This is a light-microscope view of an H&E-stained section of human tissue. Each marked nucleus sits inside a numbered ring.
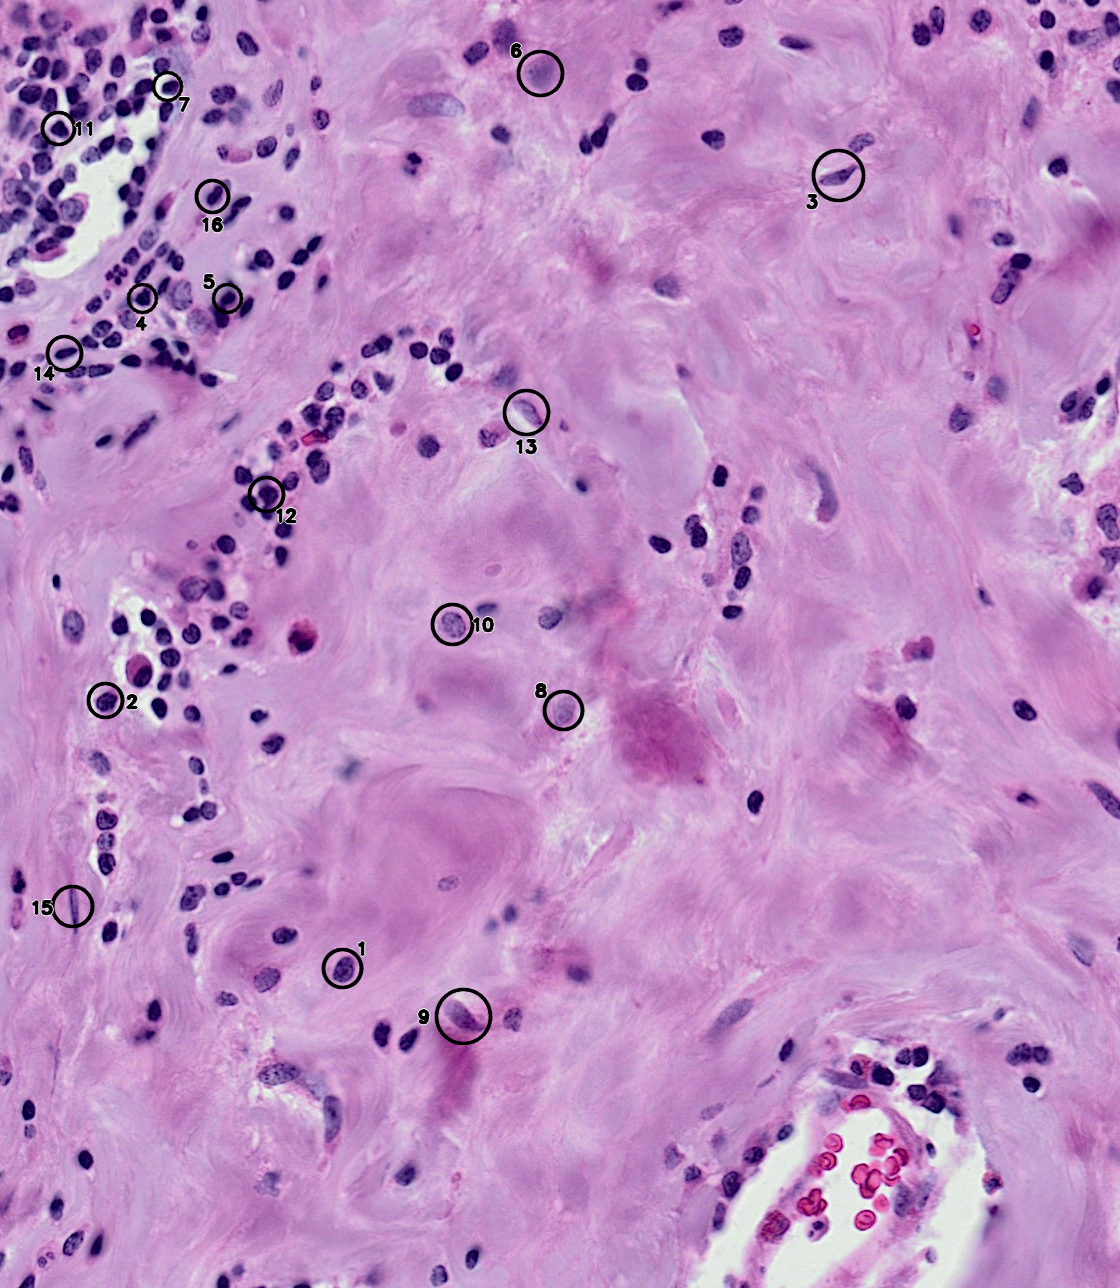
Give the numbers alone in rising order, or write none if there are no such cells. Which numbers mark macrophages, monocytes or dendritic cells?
10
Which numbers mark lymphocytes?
1, 2, 4, 5, 7, 11, 12, 14, 16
